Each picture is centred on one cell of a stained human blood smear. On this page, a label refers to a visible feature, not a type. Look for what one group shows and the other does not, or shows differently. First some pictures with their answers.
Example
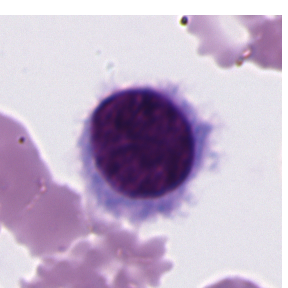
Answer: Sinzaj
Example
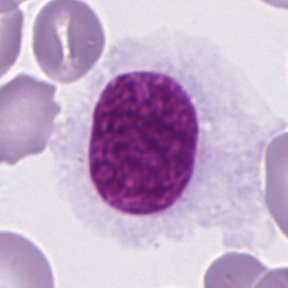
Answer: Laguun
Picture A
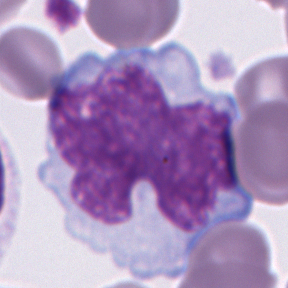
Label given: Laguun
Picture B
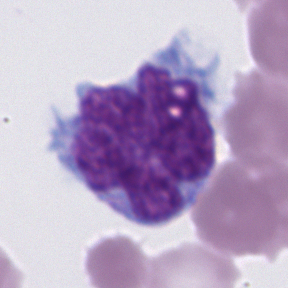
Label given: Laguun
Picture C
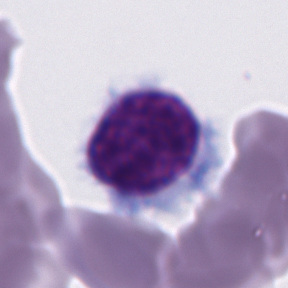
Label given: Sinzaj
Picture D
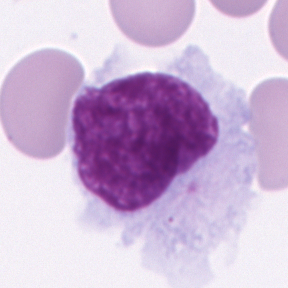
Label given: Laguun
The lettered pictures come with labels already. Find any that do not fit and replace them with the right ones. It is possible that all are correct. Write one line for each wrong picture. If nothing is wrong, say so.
B: Sinzaj, not Laguun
